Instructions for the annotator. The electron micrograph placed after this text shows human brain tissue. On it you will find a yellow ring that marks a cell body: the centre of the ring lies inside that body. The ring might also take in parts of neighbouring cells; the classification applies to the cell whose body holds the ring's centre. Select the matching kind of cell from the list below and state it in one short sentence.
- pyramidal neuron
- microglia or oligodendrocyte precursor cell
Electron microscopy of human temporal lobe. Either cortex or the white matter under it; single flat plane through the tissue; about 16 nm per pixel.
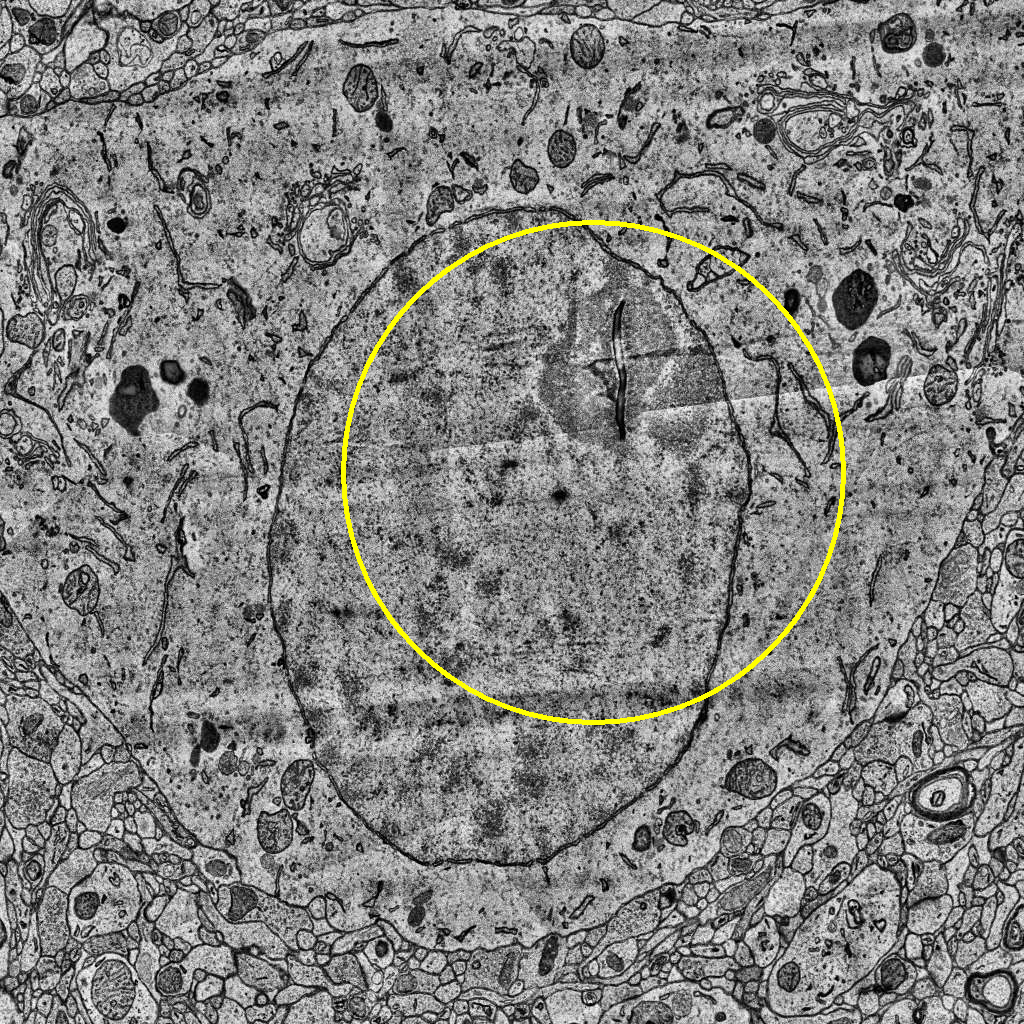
The centre of the ring lies in the cell body of a pyramidal neuron.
